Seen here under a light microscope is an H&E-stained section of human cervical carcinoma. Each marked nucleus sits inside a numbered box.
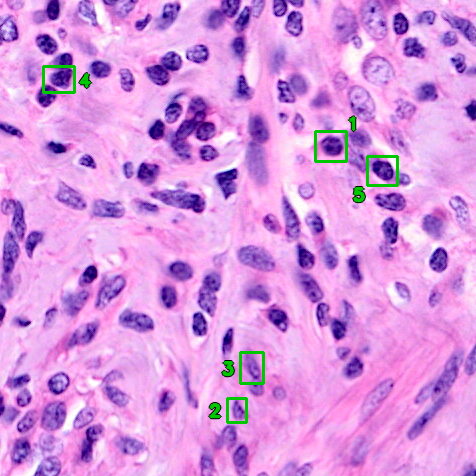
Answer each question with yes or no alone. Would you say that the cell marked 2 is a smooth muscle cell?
yes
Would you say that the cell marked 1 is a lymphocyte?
yes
